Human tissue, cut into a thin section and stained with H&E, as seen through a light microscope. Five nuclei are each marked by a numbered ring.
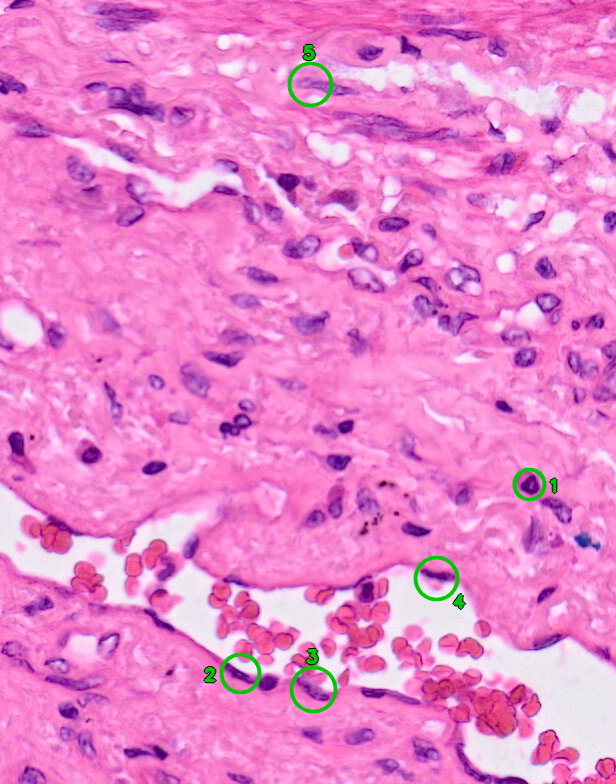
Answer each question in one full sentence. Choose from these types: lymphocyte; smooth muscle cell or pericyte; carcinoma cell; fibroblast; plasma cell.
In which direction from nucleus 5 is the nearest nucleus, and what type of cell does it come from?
It is a smooth muscle cell or pericyte, whose nucleus lies to the right of nucleus 5.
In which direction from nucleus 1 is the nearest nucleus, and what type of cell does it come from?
The nearest one is a fibroblast, found below and to the right of nucleus 1.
